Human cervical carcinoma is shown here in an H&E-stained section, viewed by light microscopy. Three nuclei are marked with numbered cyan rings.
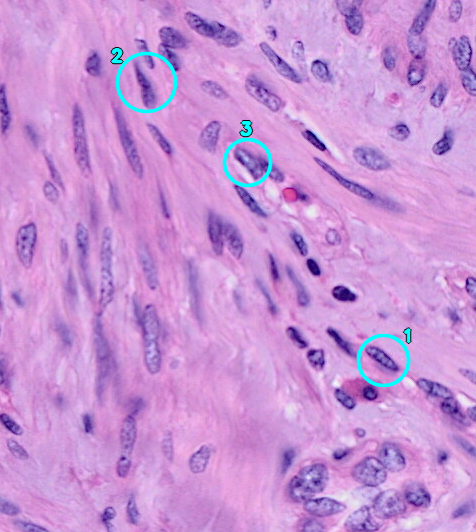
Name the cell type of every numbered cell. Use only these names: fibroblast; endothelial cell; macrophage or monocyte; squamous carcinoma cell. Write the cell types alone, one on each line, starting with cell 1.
endothelial cell
fibroblast
endothelial cell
